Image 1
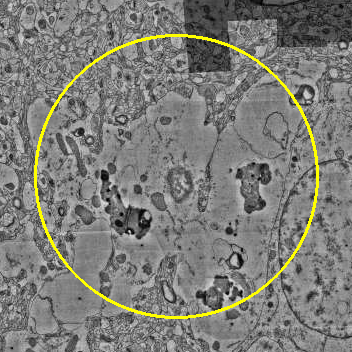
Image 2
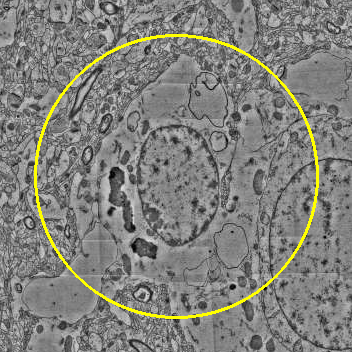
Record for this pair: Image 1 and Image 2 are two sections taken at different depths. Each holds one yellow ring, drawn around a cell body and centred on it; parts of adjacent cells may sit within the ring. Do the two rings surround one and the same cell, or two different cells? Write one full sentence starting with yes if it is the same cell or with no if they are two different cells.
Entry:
Yes, the cell inside the first ring is the cell inside the second.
